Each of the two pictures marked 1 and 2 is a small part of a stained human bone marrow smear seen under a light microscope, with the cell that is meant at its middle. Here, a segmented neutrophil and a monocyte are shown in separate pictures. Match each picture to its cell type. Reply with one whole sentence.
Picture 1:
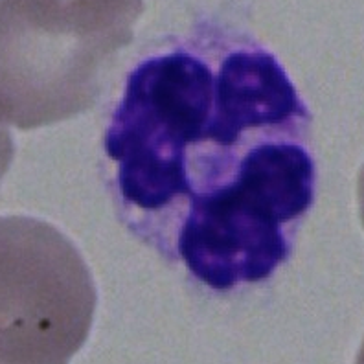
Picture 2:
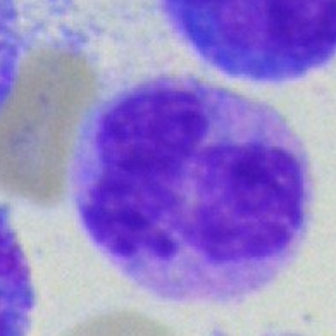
Picture 1 is of a segmented neutrophil, and picture 2 is of a monocyte.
